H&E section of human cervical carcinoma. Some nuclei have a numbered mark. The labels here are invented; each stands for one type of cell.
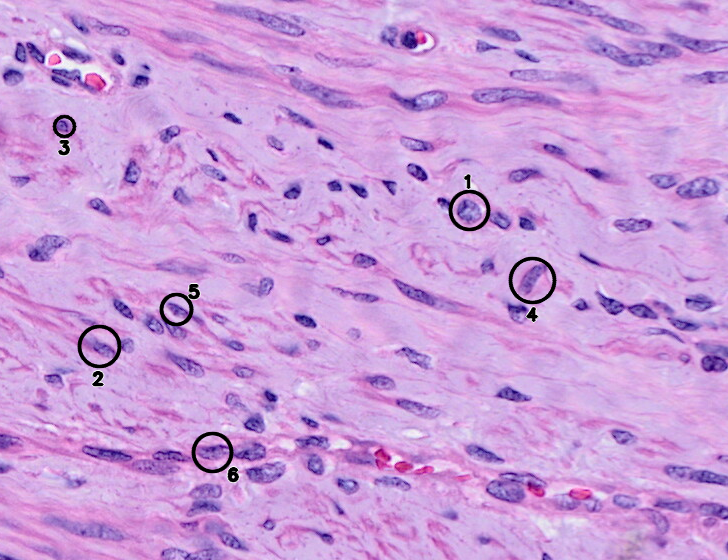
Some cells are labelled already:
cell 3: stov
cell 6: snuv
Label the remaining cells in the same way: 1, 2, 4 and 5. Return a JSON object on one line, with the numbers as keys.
{"1": "snuv", "2": "stov", "4": "stov", "5": "stov"}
